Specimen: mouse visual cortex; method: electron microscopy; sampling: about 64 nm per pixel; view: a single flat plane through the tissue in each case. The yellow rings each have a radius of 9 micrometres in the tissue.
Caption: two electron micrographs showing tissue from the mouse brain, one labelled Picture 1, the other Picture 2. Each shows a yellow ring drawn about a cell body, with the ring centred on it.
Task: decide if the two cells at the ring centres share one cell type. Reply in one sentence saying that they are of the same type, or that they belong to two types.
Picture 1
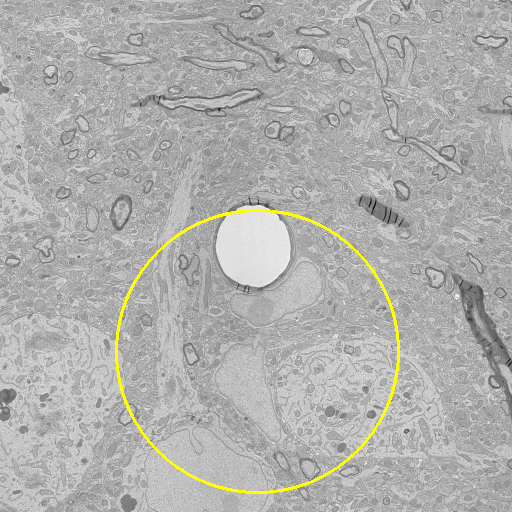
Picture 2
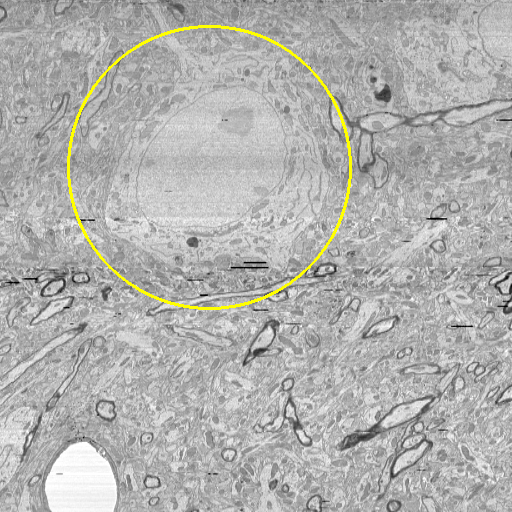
The cells at the ring centres in Picture 1 and Picture 2 belong to two types.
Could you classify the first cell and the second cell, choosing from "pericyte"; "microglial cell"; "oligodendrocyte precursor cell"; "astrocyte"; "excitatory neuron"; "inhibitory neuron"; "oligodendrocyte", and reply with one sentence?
The second cell is an excitatory neuron, while the first is an oligodendrocyte precursor cell.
